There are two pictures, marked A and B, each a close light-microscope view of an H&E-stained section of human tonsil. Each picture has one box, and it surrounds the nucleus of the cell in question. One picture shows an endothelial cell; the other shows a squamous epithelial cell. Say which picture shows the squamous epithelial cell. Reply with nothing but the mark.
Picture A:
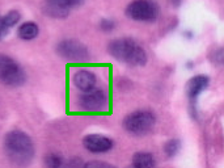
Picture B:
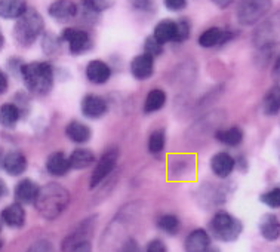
A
